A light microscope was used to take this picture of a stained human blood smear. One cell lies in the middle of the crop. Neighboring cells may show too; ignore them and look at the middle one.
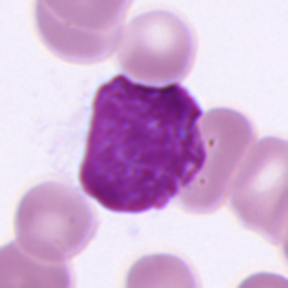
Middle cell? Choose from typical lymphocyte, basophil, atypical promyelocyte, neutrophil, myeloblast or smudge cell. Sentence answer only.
The cell marked by its central position in the crop is a smudge cell.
